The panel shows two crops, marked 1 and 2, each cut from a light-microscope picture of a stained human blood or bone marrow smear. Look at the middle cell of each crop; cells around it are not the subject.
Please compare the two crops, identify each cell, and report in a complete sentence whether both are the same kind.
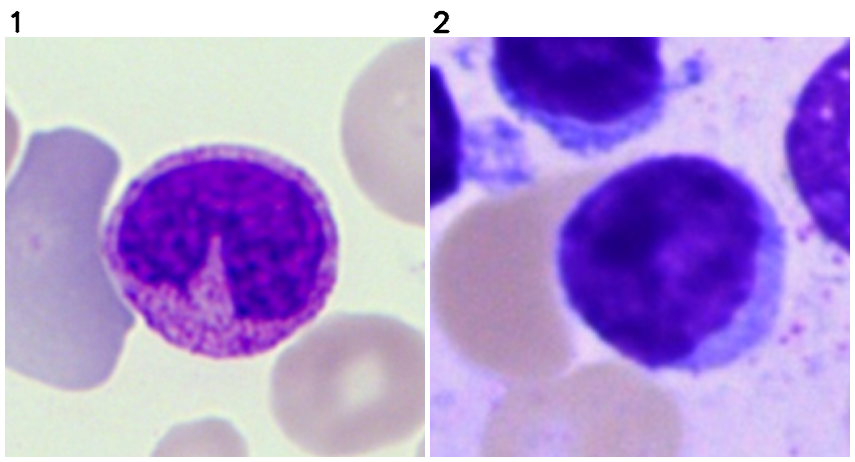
No, crop 1 depicts a basophil; crop 2 depicts a lymphocyte.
